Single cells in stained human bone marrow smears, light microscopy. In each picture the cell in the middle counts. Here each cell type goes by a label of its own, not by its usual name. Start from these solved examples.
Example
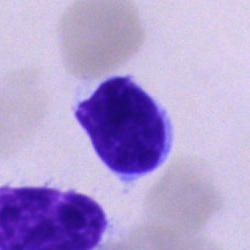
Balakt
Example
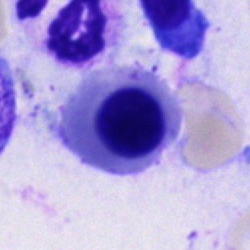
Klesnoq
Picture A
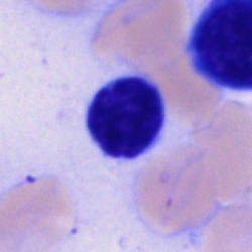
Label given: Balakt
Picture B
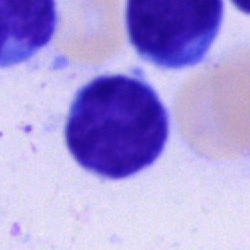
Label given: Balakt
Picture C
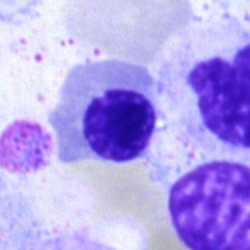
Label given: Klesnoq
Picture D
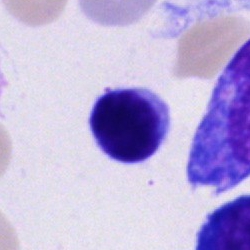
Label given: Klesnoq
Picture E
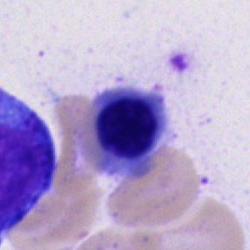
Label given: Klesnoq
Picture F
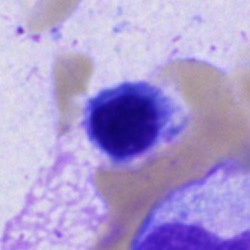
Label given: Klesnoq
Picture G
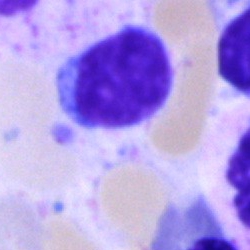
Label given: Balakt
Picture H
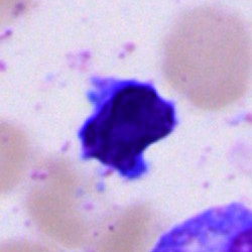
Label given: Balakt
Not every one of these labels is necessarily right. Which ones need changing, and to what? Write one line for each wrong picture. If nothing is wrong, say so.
D: not Klesnoq but Balakt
